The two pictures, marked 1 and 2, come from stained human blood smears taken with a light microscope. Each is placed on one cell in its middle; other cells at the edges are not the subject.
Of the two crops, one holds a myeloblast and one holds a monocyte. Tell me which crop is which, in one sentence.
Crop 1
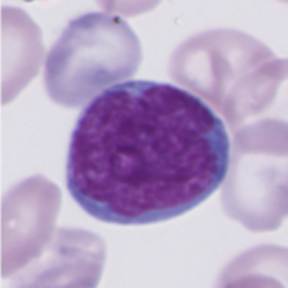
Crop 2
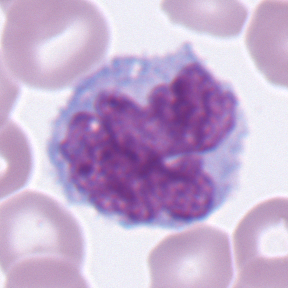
The cell of interest in crop 1 is a myeloblast, and in crop 2 it is a monocyte.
